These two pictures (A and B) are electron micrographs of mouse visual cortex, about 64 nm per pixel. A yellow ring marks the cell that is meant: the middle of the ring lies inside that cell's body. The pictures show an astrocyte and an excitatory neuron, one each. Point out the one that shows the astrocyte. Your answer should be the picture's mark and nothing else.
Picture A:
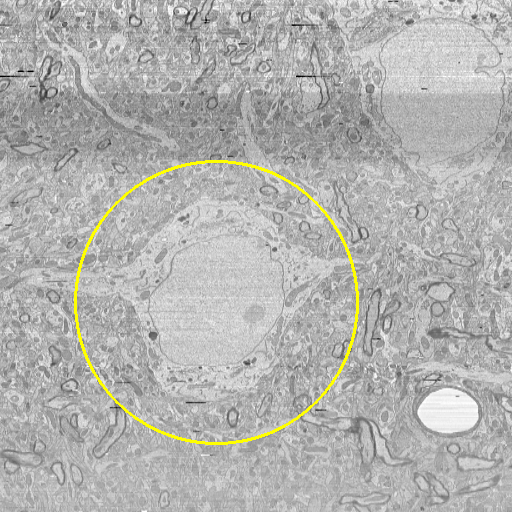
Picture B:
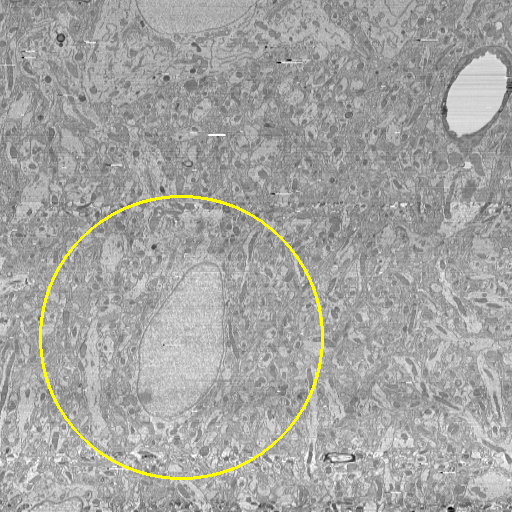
B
